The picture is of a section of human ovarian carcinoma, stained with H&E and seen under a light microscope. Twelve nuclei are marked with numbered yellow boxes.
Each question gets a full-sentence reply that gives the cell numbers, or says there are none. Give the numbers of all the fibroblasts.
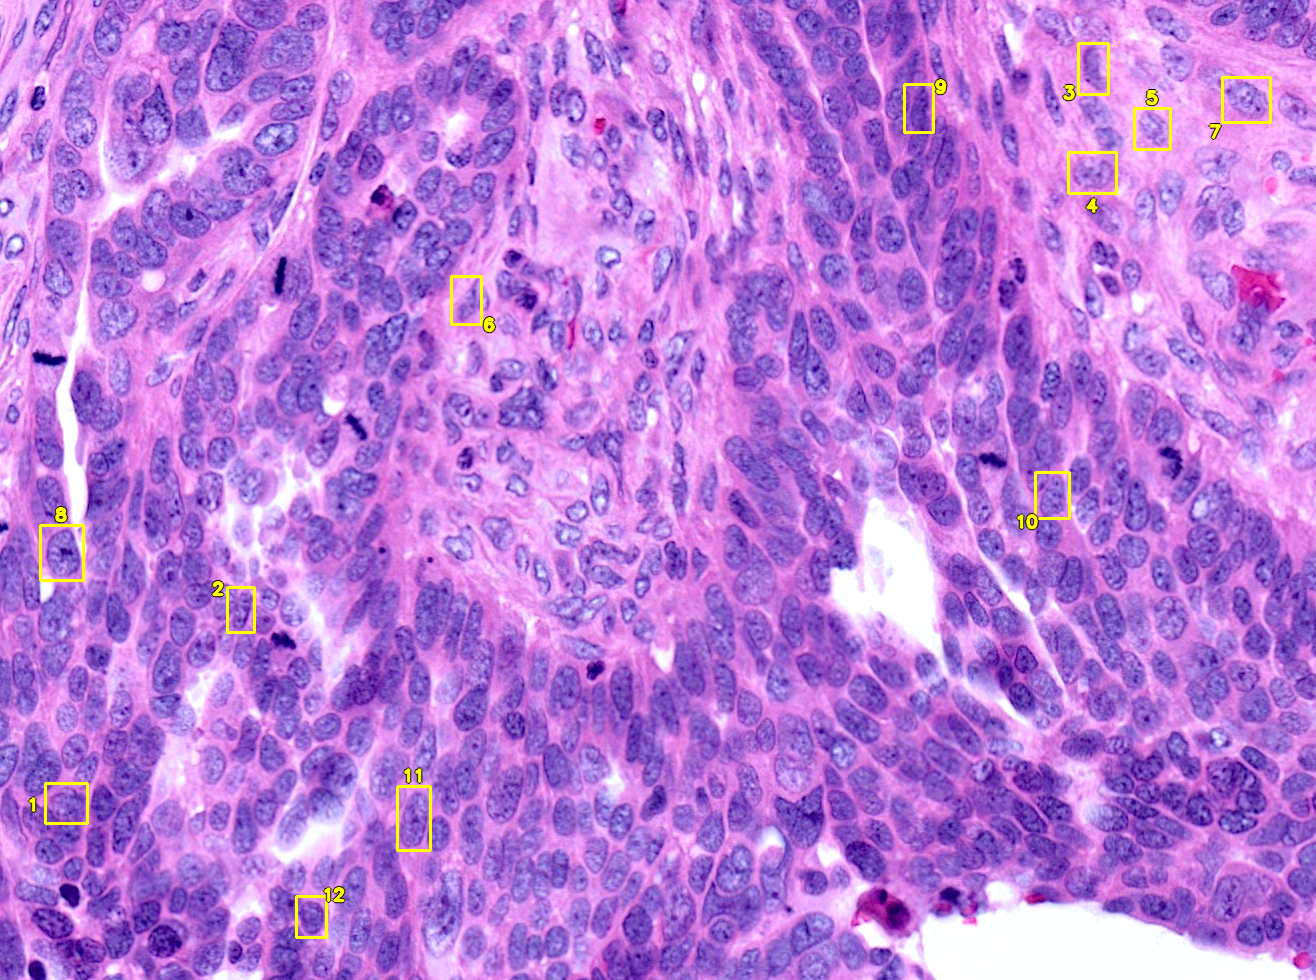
Cells 3, 4, 5, 6 and 7 in the section are typed as fibroblasts.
